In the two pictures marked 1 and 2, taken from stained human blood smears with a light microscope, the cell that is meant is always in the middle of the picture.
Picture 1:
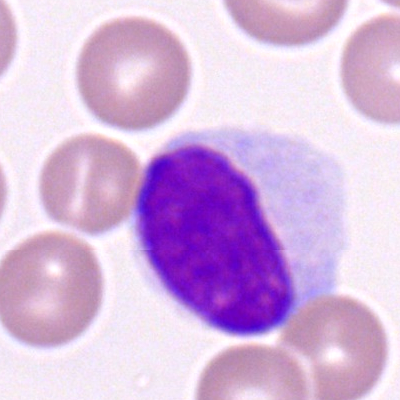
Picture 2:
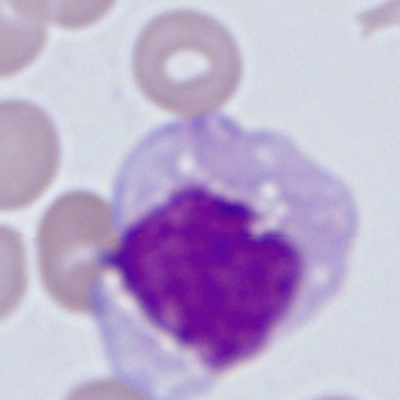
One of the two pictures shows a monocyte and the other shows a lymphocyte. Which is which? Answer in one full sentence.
It is picture 1 that shows a lymphocyte, and picture 2 that shows a monocyte.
